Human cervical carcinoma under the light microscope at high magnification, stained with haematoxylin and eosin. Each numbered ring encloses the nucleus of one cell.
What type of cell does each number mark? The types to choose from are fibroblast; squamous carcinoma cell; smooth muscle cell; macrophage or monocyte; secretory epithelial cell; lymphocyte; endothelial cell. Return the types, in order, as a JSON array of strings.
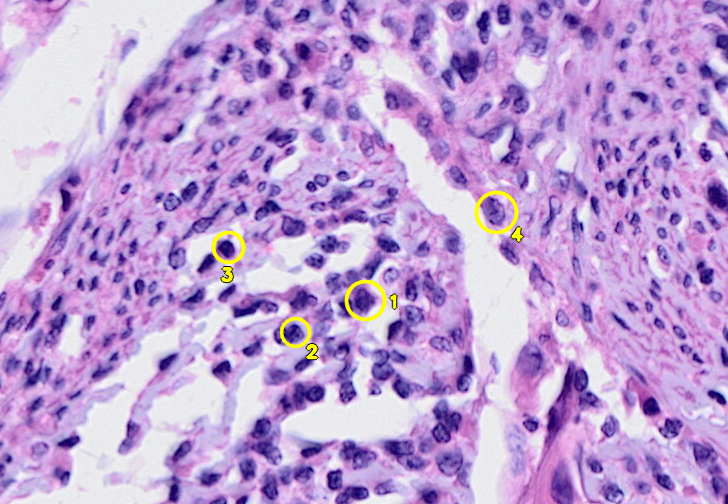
["lymphocyte", "lymphocyte", "lymphocyte", "macrophage or monocyte"]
